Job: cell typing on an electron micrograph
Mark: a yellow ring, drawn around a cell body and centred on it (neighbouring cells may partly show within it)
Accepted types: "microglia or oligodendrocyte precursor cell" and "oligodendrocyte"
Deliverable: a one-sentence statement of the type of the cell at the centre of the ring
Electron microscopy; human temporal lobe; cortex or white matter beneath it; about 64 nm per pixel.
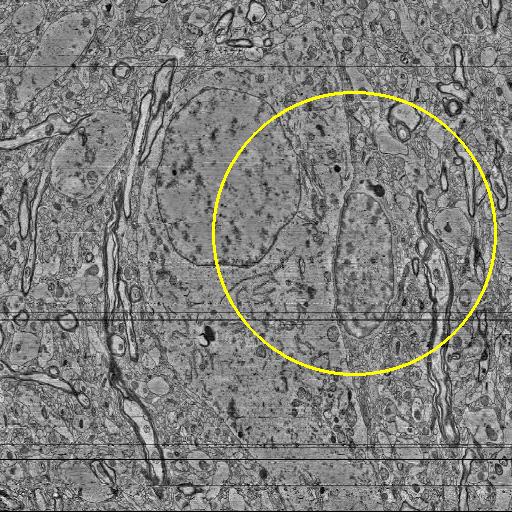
The centred cell body is that of an oligodendrocyte.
